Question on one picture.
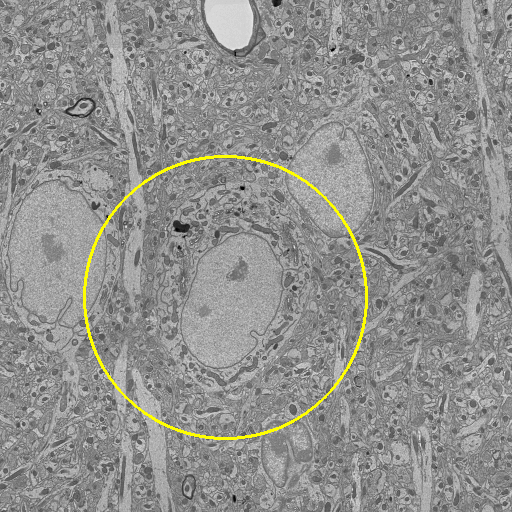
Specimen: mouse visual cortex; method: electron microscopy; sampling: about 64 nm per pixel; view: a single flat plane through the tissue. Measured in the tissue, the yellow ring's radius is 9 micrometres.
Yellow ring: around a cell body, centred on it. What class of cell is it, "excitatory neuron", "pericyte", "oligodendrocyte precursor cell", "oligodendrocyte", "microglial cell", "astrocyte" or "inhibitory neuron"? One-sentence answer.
This is an inhibitory neuron, the cell the ring is centred on.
